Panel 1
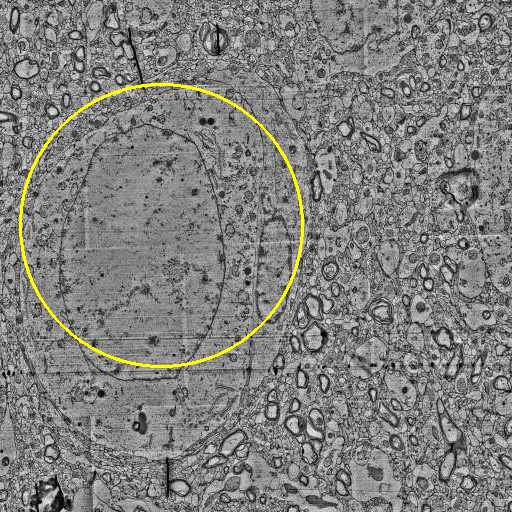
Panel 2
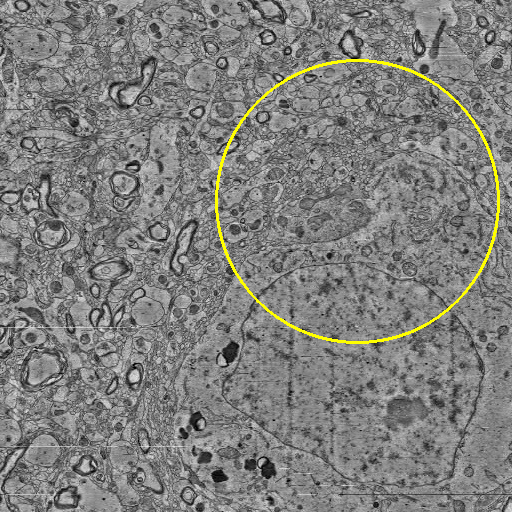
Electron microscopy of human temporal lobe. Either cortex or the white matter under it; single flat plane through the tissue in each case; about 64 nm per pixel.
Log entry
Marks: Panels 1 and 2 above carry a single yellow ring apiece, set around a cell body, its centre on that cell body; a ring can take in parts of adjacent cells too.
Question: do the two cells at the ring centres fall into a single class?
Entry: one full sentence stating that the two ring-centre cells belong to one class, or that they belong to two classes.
The two ring-centre cells in Panels 1 and 2 belong to two classes.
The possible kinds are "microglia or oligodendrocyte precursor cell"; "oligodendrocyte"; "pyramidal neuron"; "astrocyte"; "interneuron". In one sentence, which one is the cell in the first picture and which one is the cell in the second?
The cell ringed in the second picture is an oligodendrocyte, whereas the one ringed in the first is a pyramidal neuron.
